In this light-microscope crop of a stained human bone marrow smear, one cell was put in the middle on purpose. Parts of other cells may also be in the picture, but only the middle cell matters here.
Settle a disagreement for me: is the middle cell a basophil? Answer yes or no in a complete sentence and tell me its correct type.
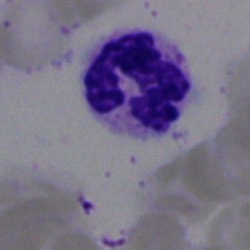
No, what lies at the heart of the crop is a neutrophil, not a basophil.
